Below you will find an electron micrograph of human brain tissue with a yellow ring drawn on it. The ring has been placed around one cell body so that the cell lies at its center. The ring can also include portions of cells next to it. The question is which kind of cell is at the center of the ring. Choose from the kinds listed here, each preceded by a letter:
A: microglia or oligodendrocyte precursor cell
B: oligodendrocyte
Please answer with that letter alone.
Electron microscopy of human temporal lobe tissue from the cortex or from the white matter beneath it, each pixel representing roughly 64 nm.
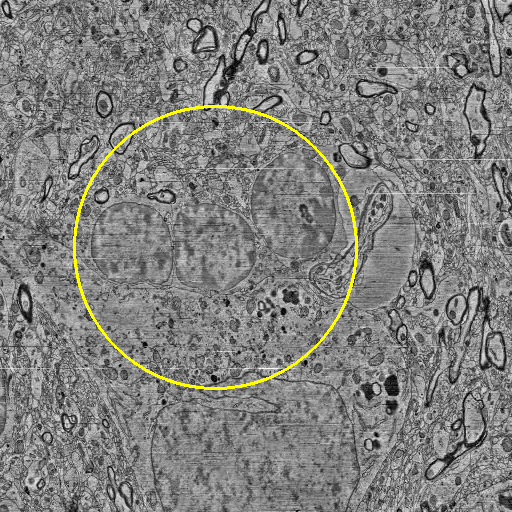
B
